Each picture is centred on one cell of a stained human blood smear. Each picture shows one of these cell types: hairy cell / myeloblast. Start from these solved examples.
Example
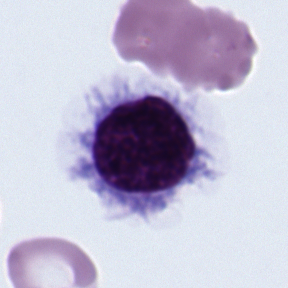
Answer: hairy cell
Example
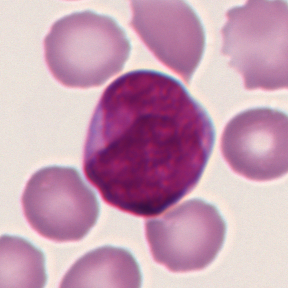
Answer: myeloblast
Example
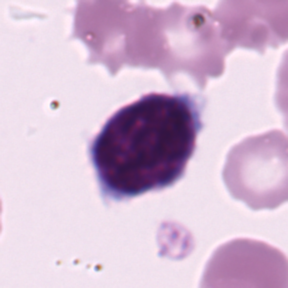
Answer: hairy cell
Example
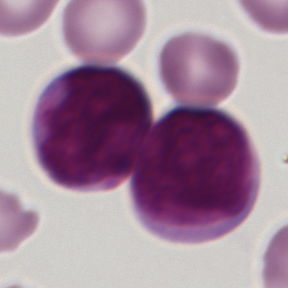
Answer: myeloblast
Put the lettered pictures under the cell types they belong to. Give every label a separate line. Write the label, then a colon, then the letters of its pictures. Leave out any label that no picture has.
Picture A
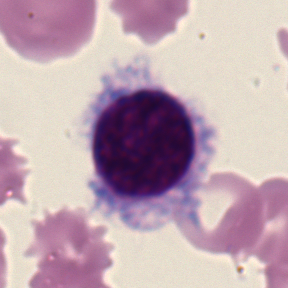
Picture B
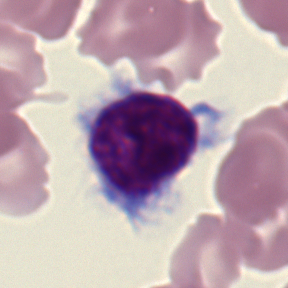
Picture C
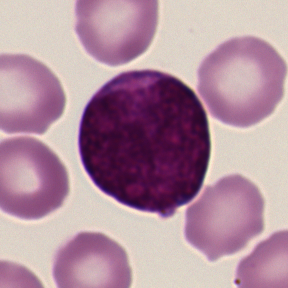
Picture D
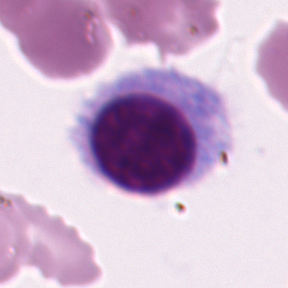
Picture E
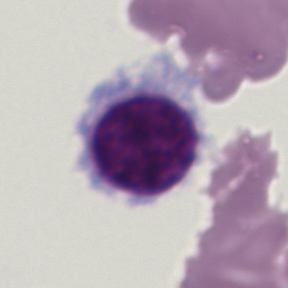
hairy cell: A, B, D, E
myeloblast: C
